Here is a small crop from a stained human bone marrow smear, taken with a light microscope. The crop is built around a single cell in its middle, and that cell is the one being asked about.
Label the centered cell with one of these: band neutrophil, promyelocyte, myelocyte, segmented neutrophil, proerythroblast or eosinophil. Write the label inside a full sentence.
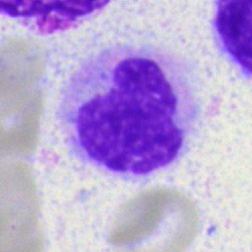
In short, the cell at the center is a band neutrophil.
